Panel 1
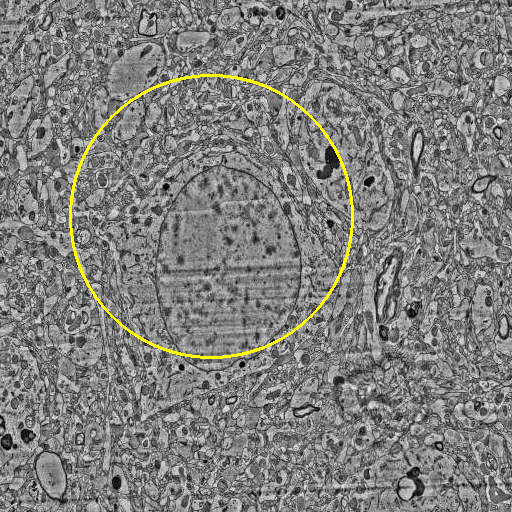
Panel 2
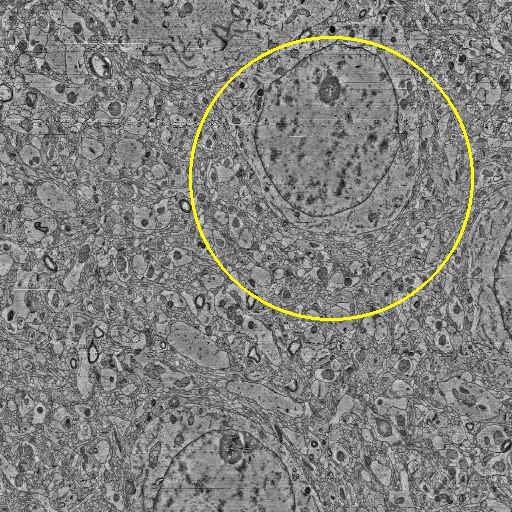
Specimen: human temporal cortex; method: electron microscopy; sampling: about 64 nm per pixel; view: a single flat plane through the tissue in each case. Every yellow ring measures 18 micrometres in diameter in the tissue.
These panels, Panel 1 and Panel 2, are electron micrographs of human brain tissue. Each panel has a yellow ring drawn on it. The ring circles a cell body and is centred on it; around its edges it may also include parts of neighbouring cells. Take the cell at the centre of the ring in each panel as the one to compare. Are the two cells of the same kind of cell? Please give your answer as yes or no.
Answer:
yes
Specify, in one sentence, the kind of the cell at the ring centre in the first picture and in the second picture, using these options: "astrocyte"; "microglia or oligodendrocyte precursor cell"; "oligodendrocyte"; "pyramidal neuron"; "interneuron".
The first and the second cell are each a pyramidal neuron.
